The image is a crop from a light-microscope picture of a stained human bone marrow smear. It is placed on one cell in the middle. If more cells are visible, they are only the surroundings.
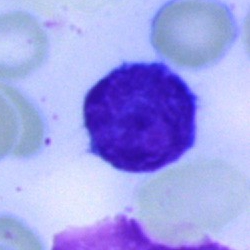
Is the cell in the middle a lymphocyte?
yes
